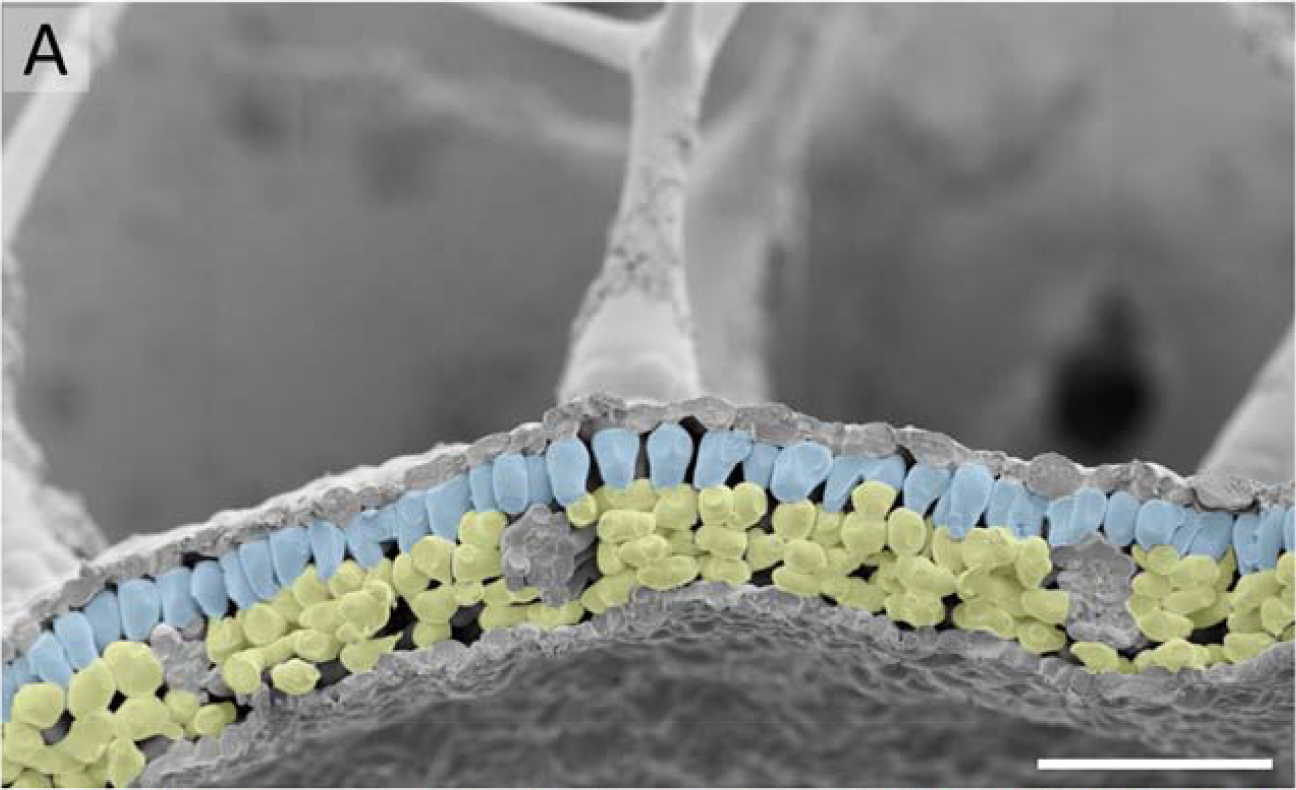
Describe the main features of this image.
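A fractured leaf blade seen in cross-section, showing its mesophyll between the two surface layers. Directly beneath the thin upper epidermis stands a single orderly row of elongated, upright palisade cells, tinted blue, packed side by side perpendicular to the surface. Below them lie the spongy mesophyll cells, tinted yellow, which are rounded and heaped irregularly in several layers, with dark gaps of air space between them. A few grey, irregular structures break through the yellow layer, and a thin lower epidermis closes the section. Beyond the fracture, the leaf surface with branched hairs is visible.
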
